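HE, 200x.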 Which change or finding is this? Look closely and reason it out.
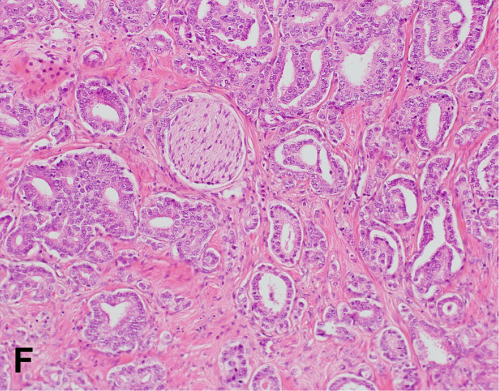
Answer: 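A round bundle of wavy spindle-shaped fibres lies in the centre. Small gland profiles crowd around and abut the edge of this bundle.
Hence: perineural invasion.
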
